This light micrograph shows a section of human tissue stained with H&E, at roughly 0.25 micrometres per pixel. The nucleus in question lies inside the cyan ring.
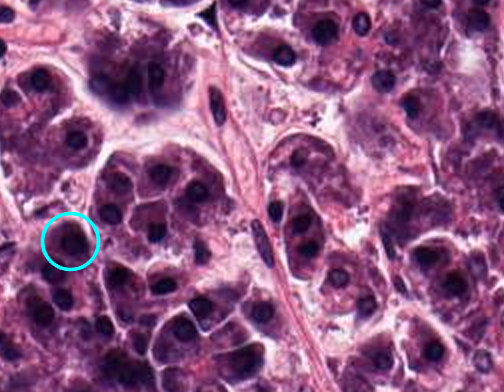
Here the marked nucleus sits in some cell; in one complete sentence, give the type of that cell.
The marked nucleus is a nucleus of a pancreatic acinar cell.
